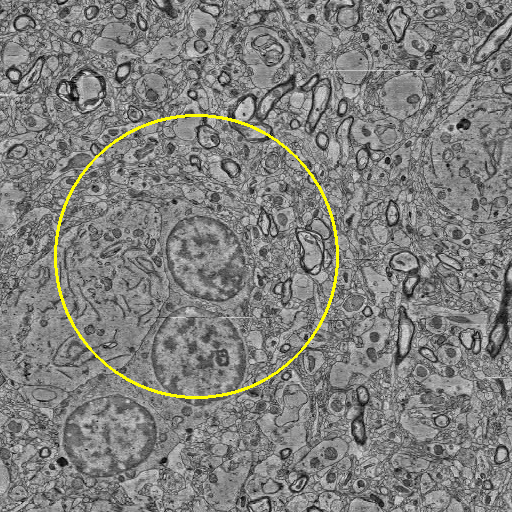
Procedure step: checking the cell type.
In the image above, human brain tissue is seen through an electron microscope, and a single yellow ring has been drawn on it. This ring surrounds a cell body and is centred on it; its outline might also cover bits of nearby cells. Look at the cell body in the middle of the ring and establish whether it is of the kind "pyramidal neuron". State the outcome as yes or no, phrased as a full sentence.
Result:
No, the cell body at the ring's centre in the image is of another kind.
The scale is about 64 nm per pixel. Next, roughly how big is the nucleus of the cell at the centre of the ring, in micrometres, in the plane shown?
The nucleus comes to roughly 6 by 5 micrometres in this plane.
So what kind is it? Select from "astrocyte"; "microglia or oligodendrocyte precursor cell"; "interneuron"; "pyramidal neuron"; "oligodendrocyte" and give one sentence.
Sitting at the ring centre is an oligodendrocyte.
